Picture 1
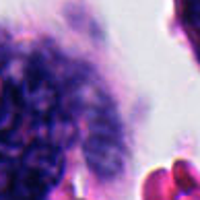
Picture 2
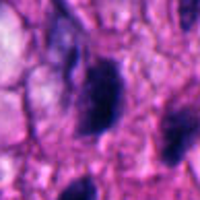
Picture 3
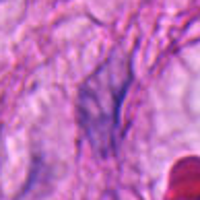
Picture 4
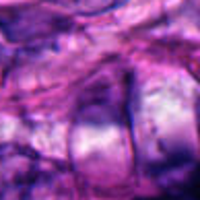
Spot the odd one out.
Picture 1 (a syncytial knot among vascular myocytes).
